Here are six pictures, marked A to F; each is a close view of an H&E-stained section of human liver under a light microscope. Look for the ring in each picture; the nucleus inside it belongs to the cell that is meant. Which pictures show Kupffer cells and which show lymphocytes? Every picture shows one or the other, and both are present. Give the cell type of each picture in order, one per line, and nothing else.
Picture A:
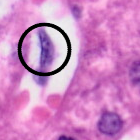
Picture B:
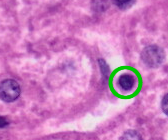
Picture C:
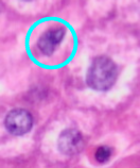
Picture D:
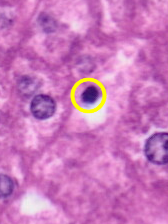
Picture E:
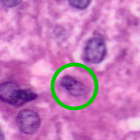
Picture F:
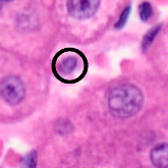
Kupffer cell
lymphocyte
Kupffer cell
lymphocyte
Kupffer cell
Kupffer cell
